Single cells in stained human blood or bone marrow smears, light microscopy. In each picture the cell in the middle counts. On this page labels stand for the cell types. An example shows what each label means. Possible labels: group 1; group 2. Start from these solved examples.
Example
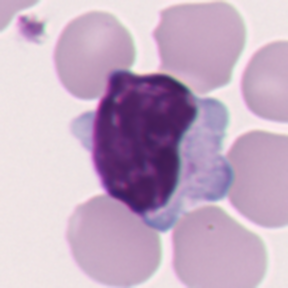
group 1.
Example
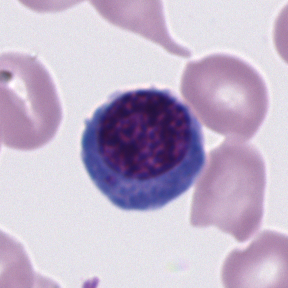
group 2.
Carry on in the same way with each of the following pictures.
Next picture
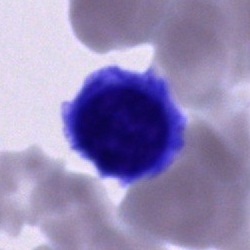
group 2.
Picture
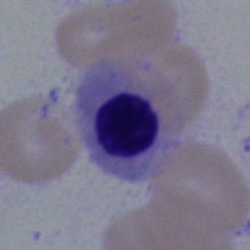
group 2.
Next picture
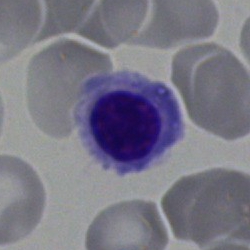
group 2.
